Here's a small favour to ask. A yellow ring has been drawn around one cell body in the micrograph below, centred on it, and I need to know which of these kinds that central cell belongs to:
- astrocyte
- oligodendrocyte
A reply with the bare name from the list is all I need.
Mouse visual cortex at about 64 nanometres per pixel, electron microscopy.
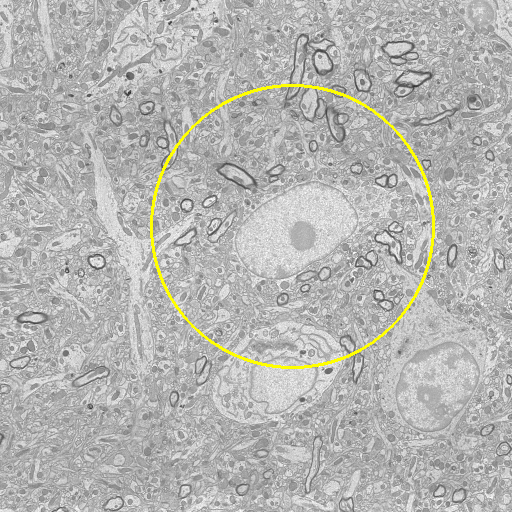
astrocyte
